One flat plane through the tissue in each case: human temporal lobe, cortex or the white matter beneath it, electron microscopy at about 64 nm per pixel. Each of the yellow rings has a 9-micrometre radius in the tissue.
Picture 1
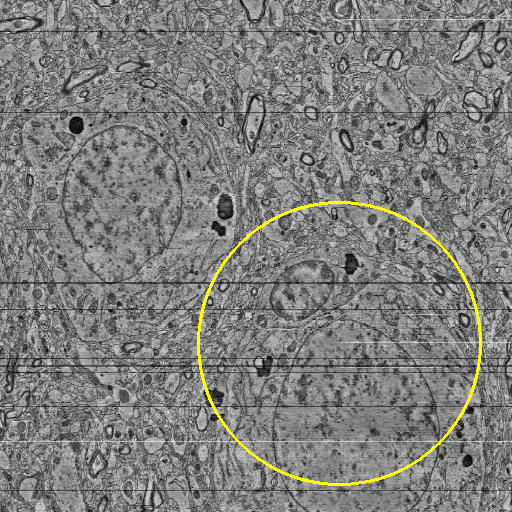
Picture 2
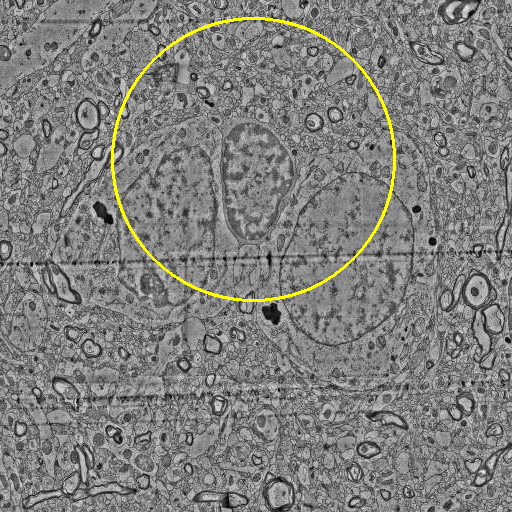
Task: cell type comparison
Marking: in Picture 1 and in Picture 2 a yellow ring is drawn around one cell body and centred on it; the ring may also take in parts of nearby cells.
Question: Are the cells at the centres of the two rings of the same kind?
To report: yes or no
no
